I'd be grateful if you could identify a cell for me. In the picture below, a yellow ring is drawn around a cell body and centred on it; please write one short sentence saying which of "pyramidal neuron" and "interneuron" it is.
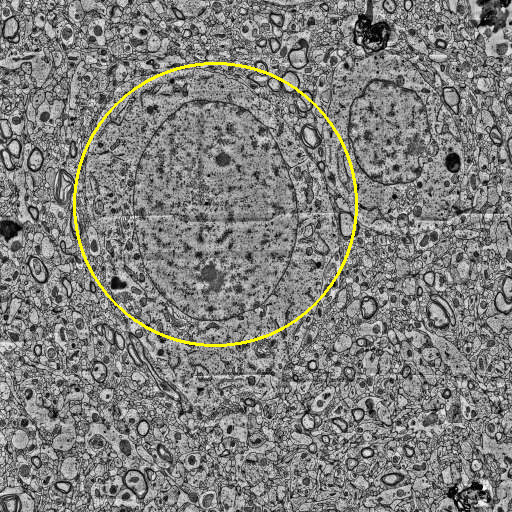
The cell under the ring's centre is a pyramidal neuron.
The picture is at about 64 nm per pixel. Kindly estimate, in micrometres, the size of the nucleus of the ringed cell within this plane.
In this plane the nucleus spans approximately 14 by 11 micrometers.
